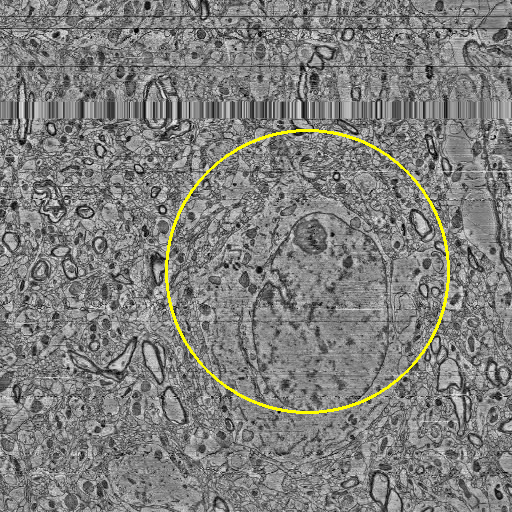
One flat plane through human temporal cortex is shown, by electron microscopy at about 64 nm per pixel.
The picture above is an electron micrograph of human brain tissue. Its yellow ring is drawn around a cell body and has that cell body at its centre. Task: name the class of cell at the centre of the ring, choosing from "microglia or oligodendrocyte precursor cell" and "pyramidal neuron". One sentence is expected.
The ring surrounds the body of a pyramidal neuron.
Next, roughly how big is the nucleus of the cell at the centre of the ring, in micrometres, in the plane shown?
The nucleus of the ringed cell is clearly longer than it is wide in this plane, about 13 by 9 micrometres.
